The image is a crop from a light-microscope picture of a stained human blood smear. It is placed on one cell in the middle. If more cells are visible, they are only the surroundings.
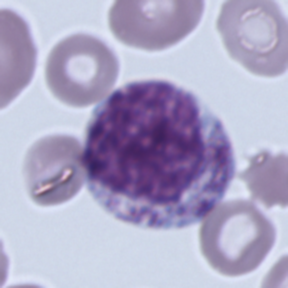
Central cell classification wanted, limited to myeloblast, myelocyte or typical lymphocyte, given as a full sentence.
At the center of the crop sits a myelocyte.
